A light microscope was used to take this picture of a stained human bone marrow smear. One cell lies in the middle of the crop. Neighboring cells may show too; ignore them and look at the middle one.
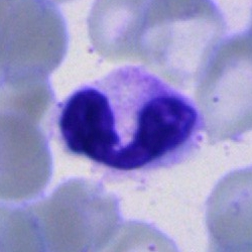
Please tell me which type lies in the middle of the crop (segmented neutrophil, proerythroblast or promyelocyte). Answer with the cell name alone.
segmented neutrophil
